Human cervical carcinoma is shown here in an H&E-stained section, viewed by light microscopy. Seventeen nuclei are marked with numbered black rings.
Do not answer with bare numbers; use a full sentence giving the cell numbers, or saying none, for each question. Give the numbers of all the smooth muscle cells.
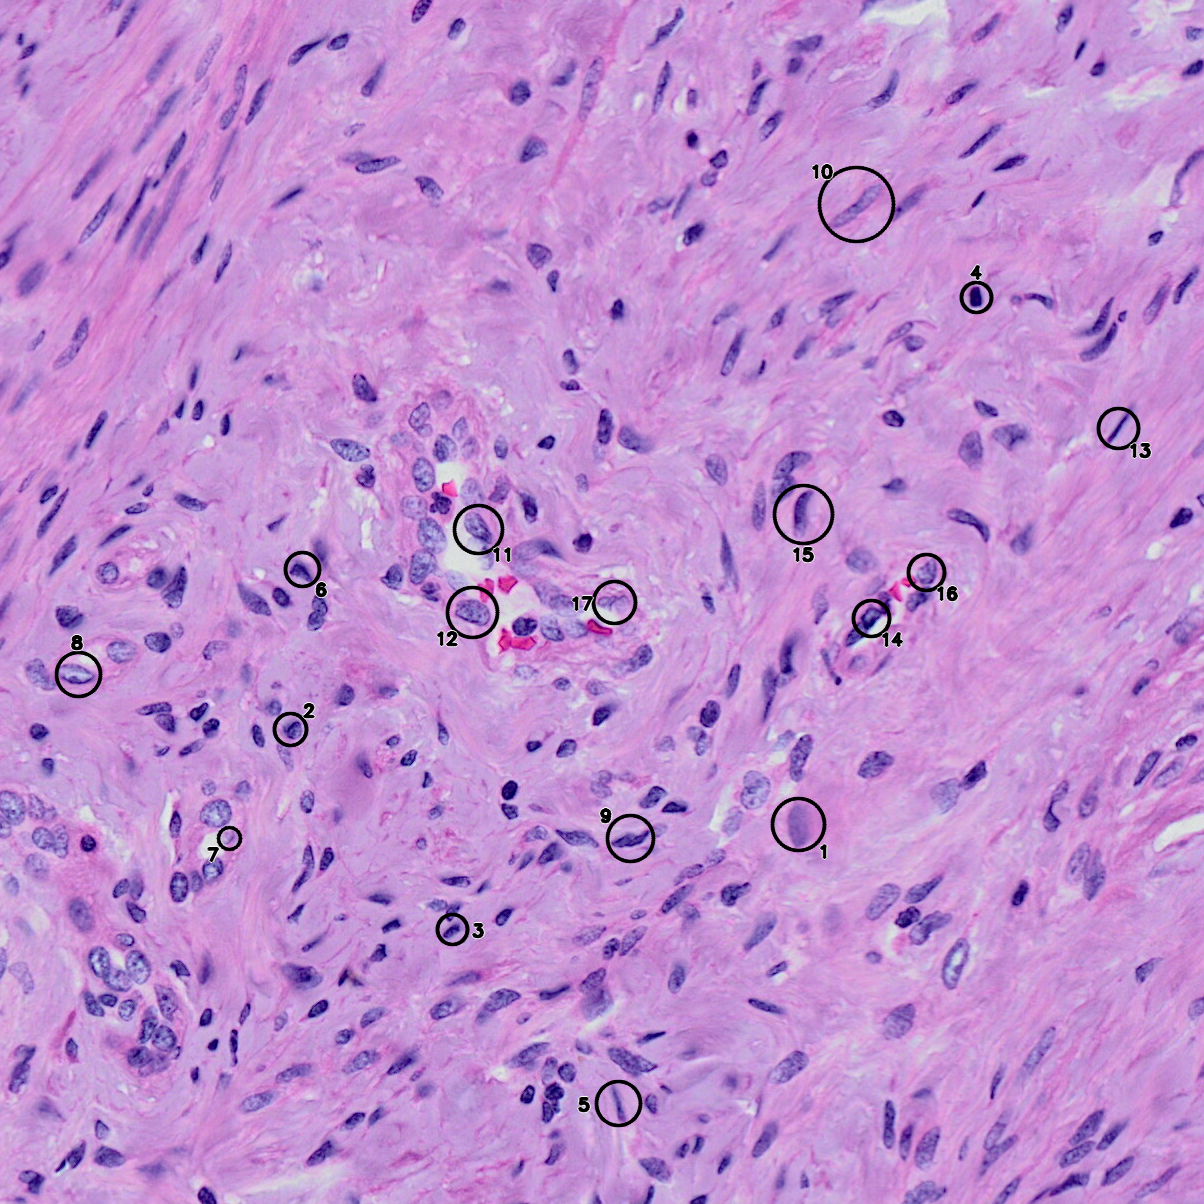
Cell 10 is the single numbered cell that is a smooth muscle cell.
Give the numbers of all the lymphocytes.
Only number 4 of the marked cells is a lymphocyte.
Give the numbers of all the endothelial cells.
The cells whose numbers are 7, 8, 11, 12, 14, 16 and 17 are endothelial cells.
